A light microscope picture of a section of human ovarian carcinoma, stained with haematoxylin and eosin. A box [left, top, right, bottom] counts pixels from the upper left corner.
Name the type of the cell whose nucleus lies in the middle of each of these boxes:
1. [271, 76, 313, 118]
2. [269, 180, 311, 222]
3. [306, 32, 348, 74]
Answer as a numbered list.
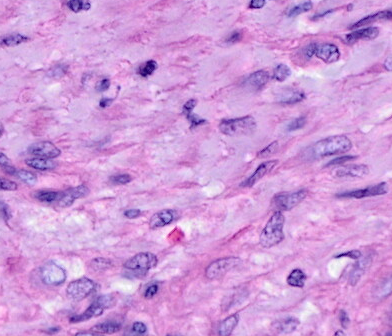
1. fibroblast
2. fibroblast
3. endothelial cell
